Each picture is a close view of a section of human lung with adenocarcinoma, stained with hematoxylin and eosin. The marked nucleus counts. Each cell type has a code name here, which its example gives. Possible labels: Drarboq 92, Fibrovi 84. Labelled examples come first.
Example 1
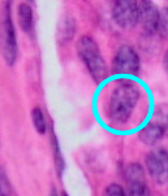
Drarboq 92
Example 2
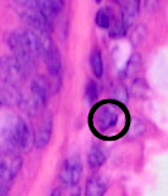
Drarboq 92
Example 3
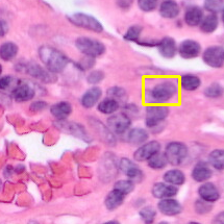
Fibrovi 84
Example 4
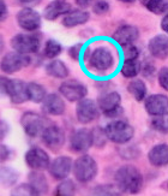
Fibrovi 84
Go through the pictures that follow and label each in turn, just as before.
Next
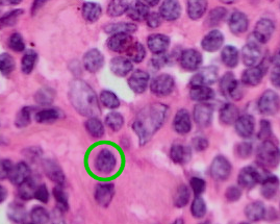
Fibrovi 84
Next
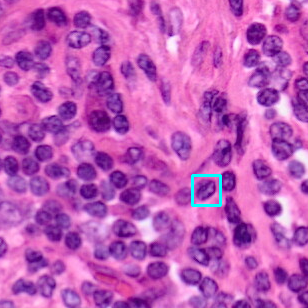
Fibrovi 84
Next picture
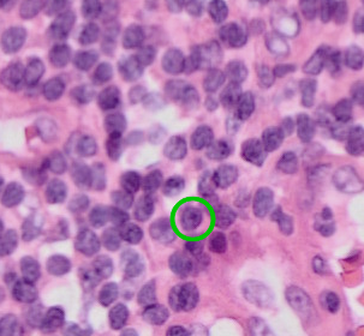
Fibrovi 84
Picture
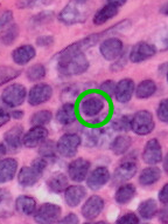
Fibrovi 84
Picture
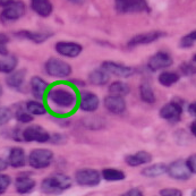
Fibrovi 84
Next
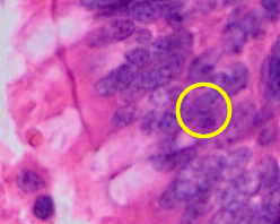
Drarboq 92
